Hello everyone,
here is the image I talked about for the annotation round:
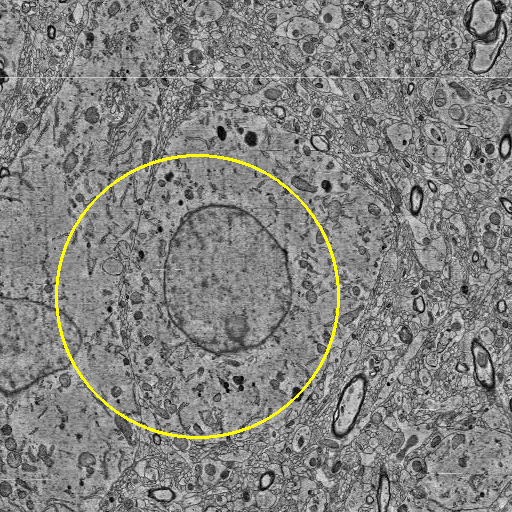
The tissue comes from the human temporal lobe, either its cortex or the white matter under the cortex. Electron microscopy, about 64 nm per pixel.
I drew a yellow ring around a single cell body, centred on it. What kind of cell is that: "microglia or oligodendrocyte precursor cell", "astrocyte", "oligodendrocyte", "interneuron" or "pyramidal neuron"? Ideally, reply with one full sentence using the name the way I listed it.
The cell your yellow ring is centred on is a pyramidal neuron, going by your list.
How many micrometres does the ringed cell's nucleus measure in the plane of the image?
Roughly 10 by 8 micrometres in this plane, for the nucleus of the ringed cell.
